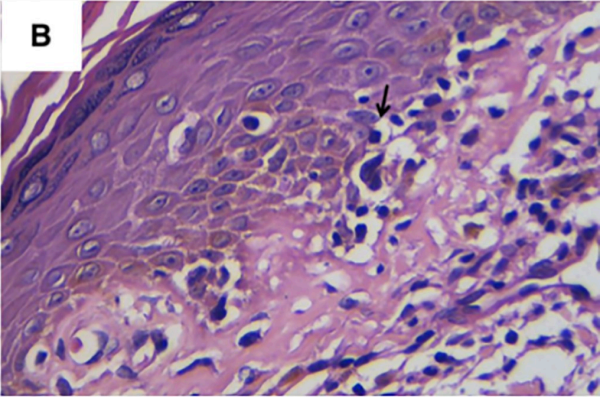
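Epidermis with pink keratinocytes bearing oval nuclei and prominent cell borders, invaded by small lymphocytes with dark, irregular nuclei. A cluster of these dark lymphoid cells lies within the lower epidermis, and several single lymphocytes sit in clear spaces among the keratinocytes, while the underlying dermis holds scattered dark nuclei in loose pink stroma.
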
